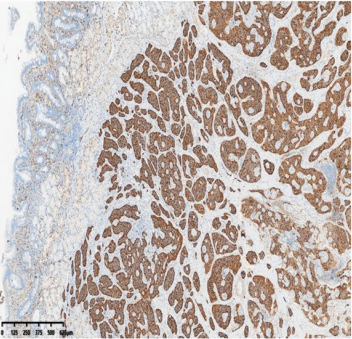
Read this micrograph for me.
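A low-power section in which rounded nests and anastomosing trabeculae of tumour-like cells are stained a strong, diffuse brown. Pale blue-counterstained fibrous stroma separates them. At the left edge, a glandular mucosa is seen, its glands unstained and pale blue, with faint brown in the loose tissue beneath. The brown nests are densely packed in the center and right of the field, some with small round spaces inside them, and they extend in cords toward the lower edge. The stroma between the nests is thin and lightly counterstained.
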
